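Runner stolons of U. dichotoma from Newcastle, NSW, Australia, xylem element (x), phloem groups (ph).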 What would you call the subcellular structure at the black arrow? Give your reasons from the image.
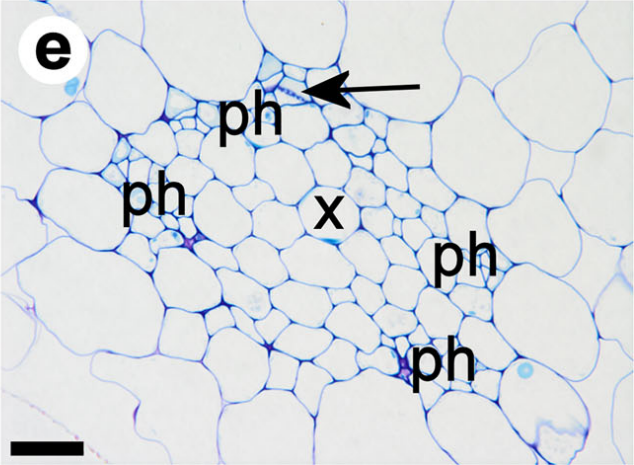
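Sieve plate. The arrow tip touches a thin dark crosswall in a group of small cells at the top of the cluster.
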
